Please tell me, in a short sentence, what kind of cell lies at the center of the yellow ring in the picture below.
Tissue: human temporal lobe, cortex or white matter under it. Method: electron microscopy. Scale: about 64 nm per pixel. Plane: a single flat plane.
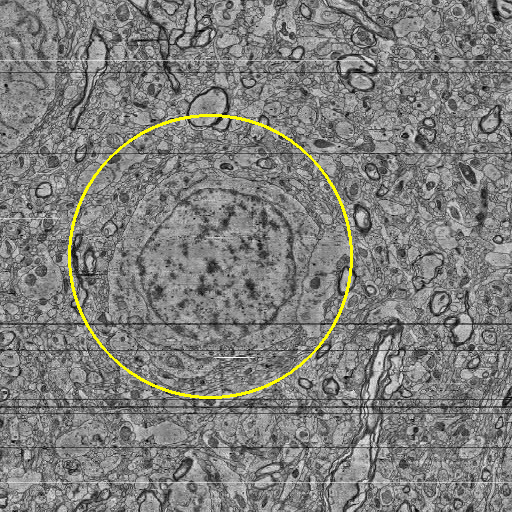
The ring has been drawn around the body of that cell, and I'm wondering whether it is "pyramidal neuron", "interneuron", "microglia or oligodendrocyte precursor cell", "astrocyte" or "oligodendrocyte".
The cell at the center of the ring is an interneuron.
